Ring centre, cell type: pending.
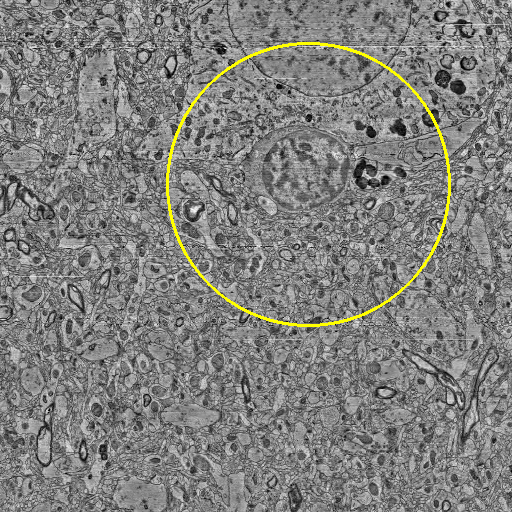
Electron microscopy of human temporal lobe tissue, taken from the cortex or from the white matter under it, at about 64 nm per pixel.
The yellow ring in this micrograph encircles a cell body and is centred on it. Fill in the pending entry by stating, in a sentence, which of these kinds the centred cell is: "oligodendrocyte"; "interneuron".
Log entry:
The centred cell is recorded as an oligodendrocyte.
